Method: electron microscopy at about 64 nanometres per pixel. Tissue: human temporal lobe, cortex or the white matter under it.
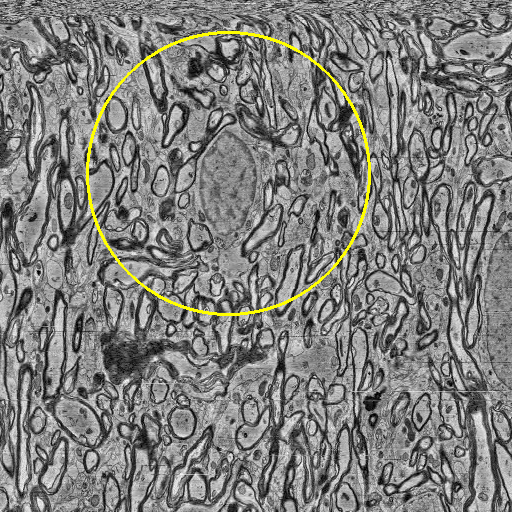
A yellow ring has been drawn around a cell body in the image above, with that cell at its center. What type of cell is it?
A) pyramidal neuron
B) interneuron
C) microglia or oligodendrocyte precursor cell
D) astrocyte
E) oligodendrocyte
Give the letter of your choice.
E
